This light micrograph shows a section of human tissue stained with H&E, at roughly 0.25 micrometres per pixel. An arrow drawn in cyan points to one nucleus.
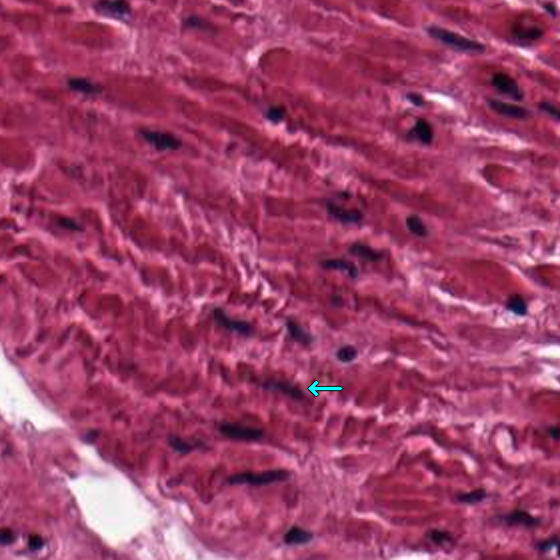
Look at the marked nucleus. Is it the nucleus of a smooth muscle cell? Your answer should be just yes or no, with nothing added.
yes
